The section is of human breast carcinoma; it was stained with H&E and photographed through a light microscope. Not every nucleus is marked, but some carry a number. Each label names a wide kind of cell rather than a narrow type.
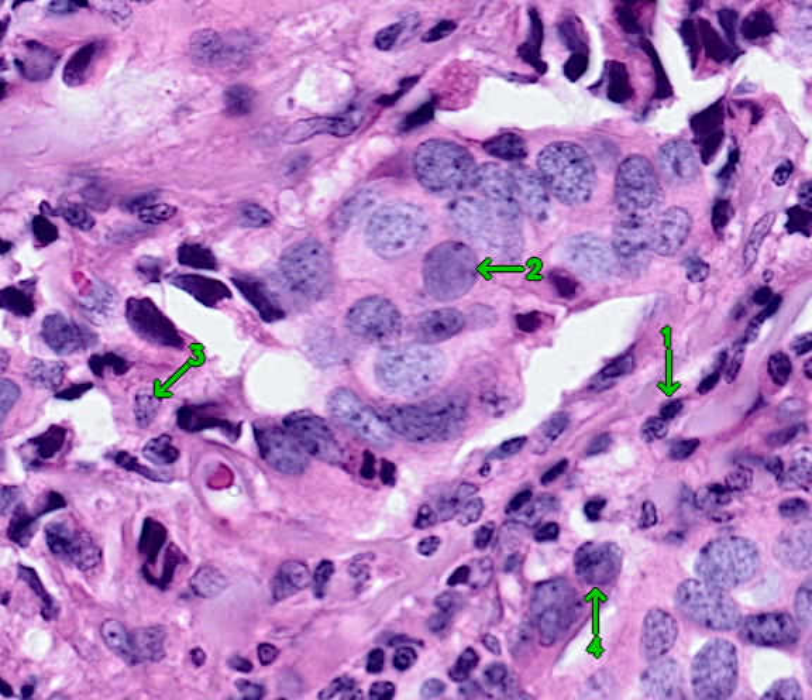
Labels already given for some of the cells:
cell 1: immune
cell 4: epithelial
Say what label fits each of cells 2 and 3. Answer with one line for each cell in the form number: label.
2: epithelial
3: immune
